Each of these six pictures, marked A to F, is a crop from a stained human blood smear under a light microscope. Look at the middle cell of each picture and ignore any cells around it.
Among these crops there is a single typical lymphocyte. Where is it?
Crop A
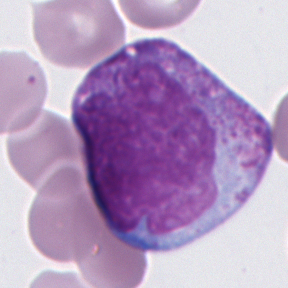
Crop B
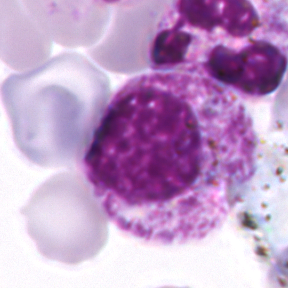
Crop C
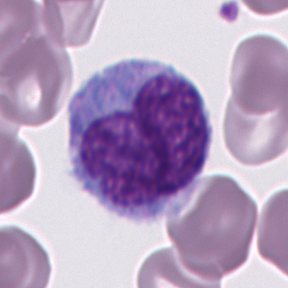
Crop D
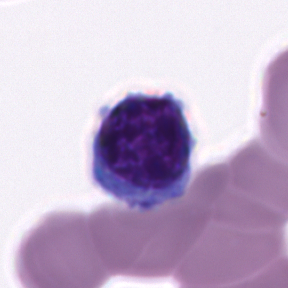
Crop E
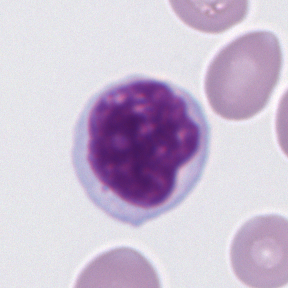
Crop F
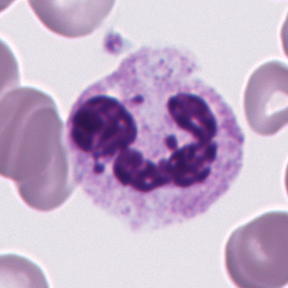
E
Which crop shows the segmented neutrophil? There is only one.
F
